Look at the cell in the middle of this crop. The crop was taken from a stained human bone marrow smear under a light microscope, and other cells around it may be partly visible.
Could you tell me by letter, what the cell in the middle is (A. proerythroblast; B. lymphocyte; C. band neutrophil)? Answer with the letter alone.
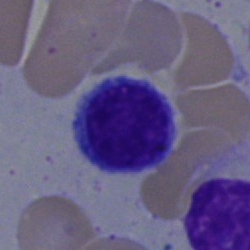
B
